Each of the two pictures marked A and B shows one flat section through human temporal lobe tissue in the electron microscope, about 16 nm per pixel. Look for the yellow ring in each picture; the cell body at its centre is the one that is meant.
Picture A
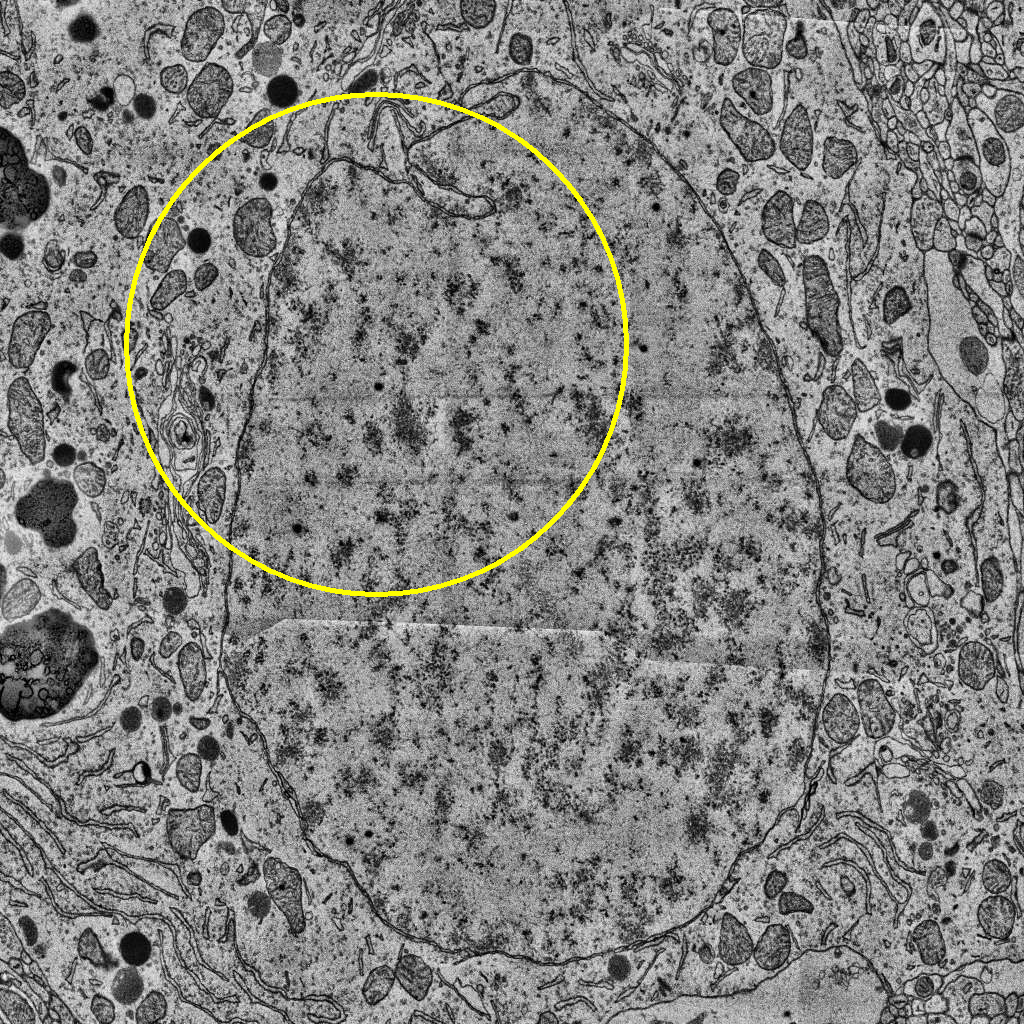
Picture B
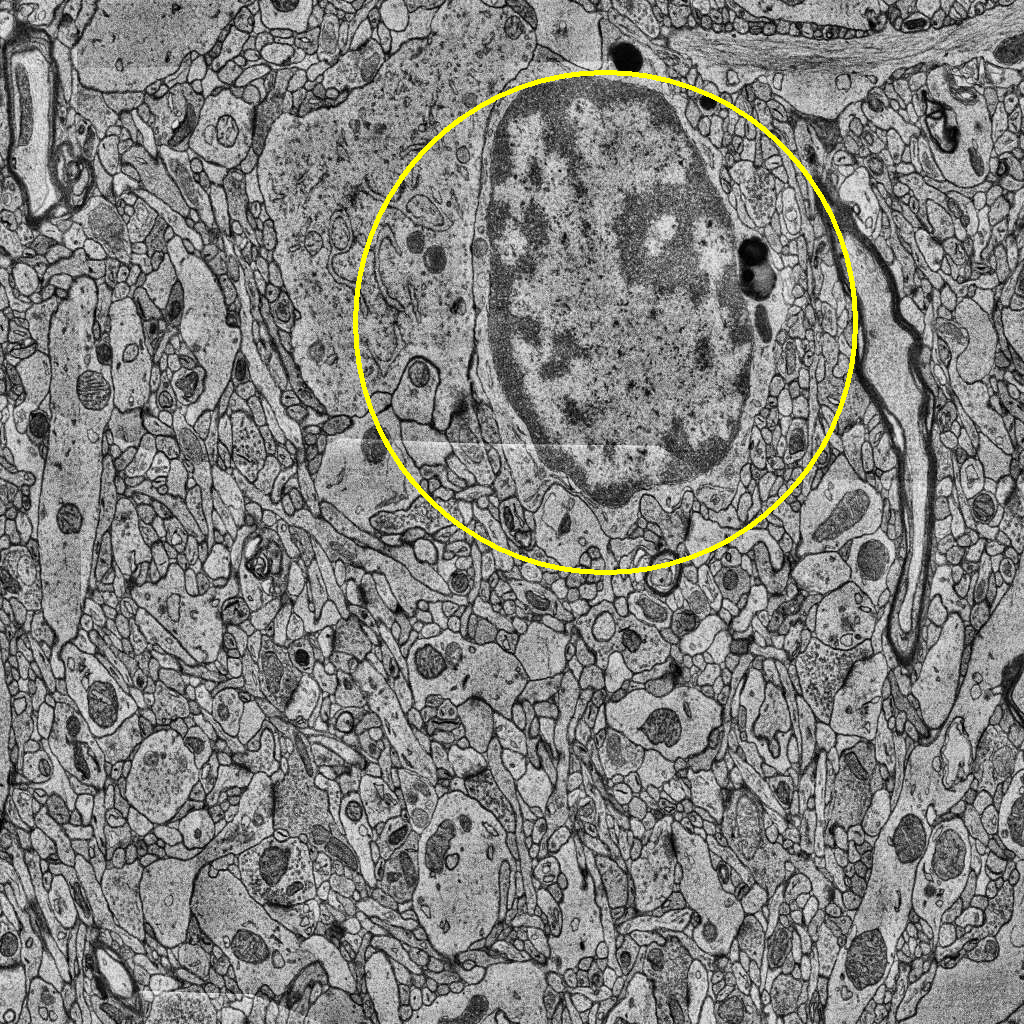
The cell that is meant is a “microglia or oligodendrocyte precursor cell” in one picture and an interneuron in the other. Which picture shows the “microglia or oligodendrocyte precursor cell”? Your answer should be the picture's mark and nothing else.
B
